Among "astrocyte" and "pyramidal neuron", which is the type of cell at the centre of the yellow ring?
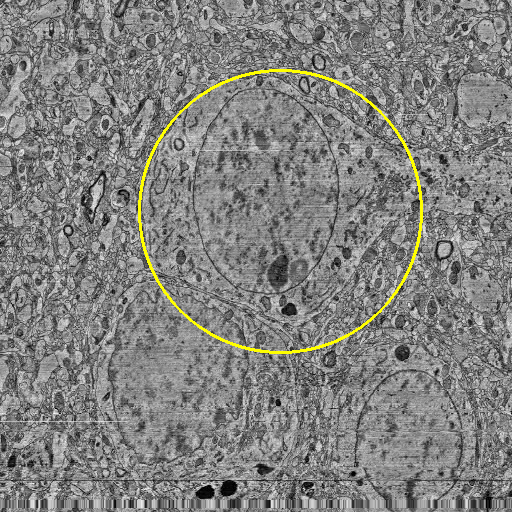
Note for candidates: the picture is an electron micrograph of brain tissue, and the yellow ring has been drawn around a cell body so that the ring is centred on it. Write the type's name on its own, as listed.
pyramidal neuron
